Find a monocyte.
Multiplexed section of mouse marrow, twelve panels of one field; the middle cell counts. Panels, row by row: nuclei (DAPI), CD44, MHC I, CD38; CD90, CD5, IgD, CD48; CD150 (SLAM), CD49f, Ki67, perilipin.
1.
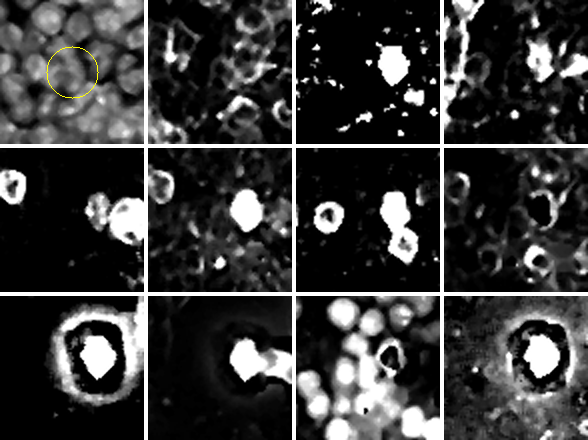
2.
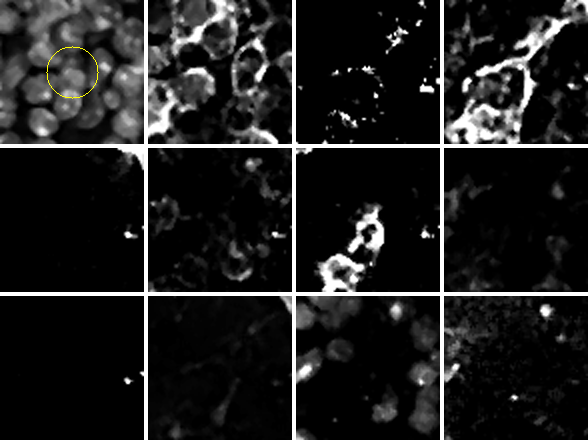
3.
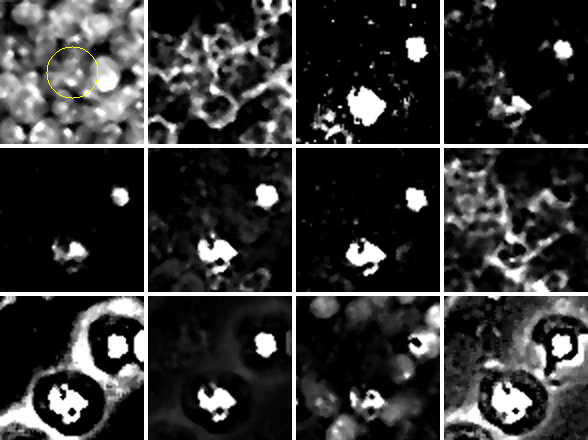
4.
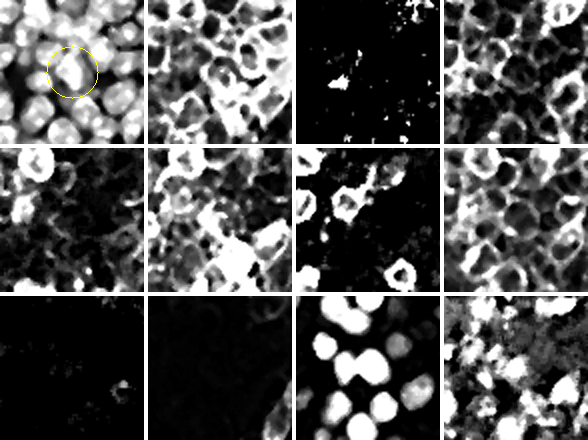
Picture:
3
